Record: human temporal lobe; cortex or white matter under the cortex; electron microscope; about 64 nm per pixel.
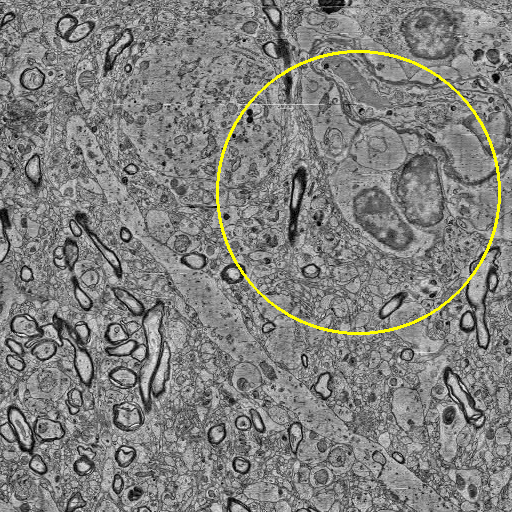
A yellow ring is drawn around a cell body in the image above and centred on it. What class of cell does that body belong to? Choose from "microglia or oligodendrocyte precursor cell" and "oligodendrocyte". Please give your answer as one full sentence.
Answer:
The yellow ring above is centred on the cell body of a microglial cell or oligodendrocyte precursor cell.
